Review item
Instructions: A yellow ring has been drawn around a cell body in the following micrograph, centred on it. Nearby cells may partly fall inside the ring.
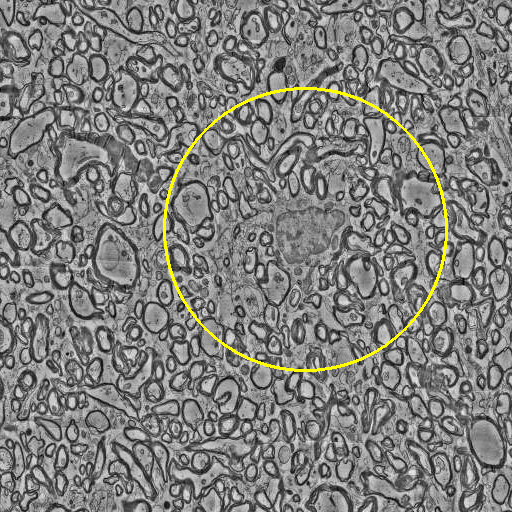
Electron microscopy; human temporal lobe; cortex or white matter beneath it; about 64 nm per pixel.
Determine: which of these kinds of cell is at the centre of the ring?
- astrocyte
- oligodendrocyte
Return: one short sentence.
The cell body in the middle of the ring is that of an oligodendrocyte.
